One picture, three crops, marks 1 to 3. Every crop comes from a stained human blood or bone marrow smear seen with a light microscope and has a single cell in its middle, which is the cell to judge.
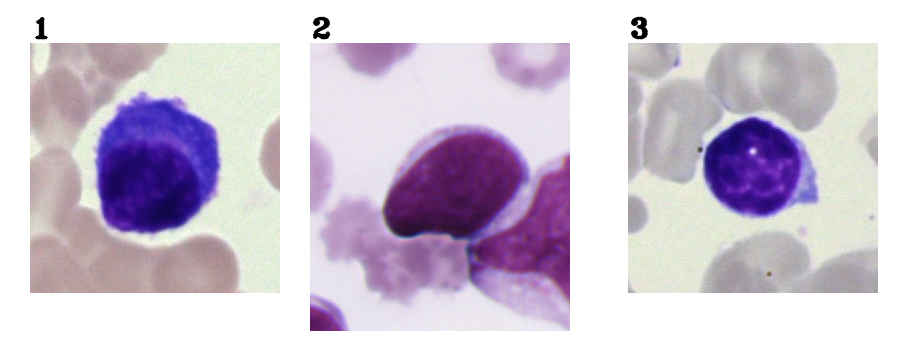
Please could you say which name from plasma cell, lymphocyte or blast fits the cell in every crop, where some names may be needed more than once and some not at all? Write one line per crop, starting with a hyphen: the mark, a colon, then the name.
- 1: plasma cell
- 2: blast
- 3: lymphocyte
